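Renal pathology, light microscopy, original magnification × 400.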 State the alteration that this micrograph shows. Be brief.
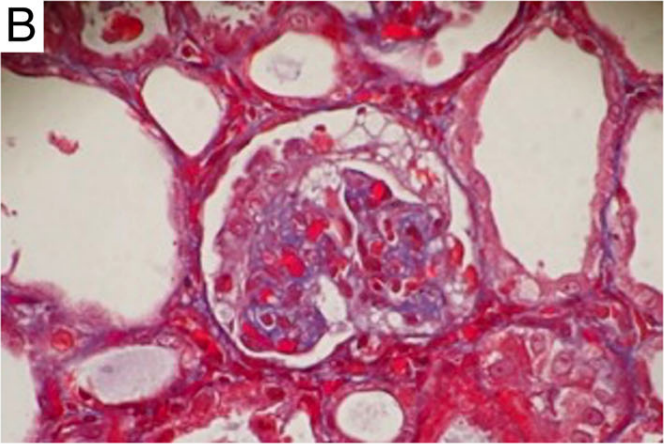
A: Podocyte hyperplasia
